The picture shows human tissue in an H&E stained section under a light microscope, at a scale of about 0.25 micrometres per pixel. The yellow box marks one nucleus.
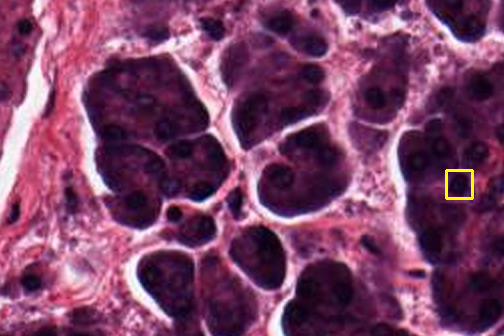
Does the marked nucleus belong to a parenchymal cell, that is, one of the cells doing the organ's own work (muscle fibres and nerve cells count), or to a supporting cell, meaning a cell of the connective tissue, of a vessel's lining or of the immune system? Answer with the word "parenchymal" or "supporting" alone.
parenchymal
